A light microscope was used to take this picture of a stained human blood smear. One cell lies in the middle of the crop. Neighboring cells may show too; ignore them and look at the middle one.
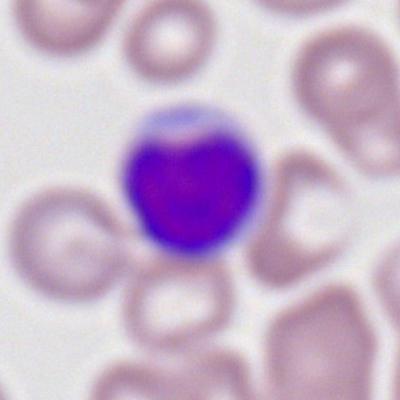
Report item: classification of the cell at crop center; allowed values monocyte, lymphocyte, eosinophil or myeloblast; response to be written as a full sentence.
Centred in the crop is a lymphocyte.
